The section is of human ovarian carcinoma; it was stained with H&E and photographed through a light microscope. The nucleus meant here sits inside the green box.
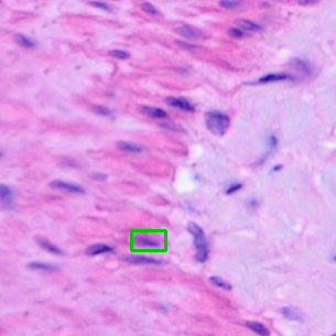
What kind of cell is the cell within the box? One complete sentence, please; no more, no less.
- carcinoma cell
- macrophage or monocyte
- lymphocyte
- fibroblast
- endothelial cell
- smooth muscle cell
The identity of the cell within the box: it is a smooth muscle cell.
